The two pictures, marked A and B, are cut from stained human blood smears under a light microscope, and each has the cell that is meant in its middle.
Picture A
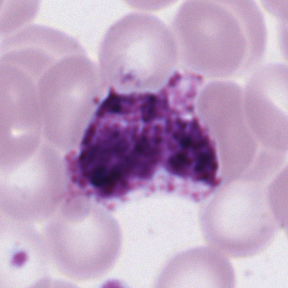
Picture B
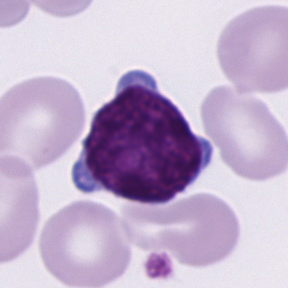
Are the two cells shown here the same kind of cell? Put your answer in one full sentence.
No, picture A shows a basophil and picture B shows a typical lymphocyte.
